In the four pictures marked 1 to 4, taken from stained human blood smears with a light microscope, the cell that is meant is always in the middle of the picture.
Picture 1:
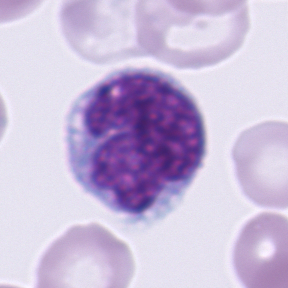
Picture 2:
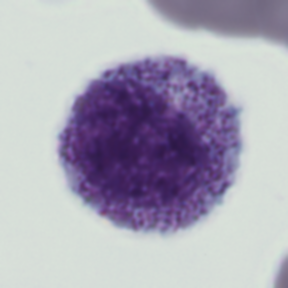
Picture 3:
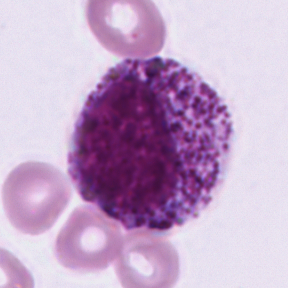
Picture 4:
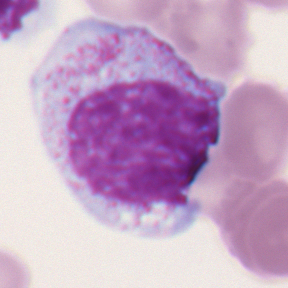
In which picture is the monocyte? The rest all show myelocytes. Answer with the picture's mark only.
1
